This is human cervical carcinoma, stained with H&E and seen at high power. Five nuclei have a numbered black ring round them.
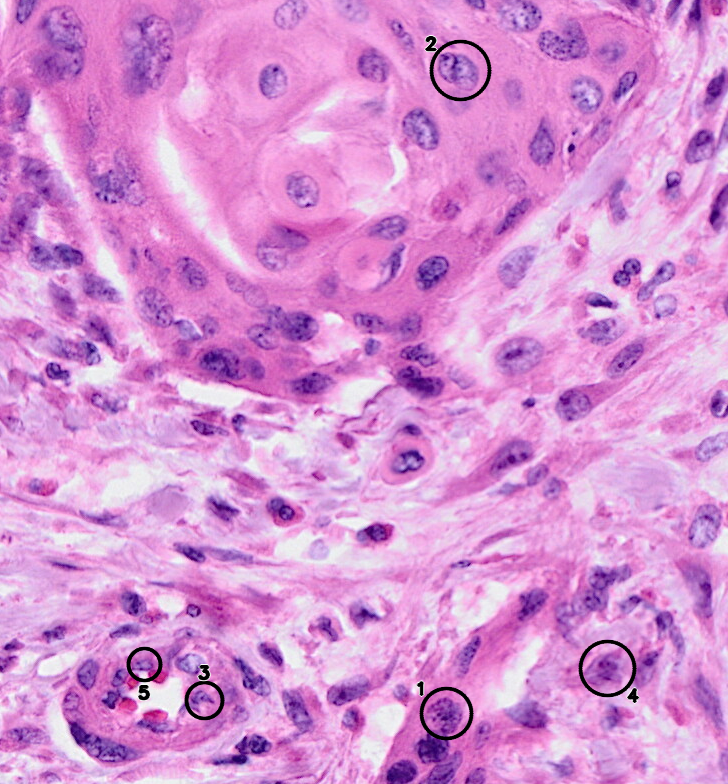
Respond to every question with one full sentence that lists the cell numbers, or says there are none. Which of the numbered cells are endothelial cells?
Cells that were given the numbers 3 and 5 are endothelial cells.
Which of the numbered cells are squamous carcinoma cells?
Cells 1 and 2 share one type; they are squamous carcinoma cells.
